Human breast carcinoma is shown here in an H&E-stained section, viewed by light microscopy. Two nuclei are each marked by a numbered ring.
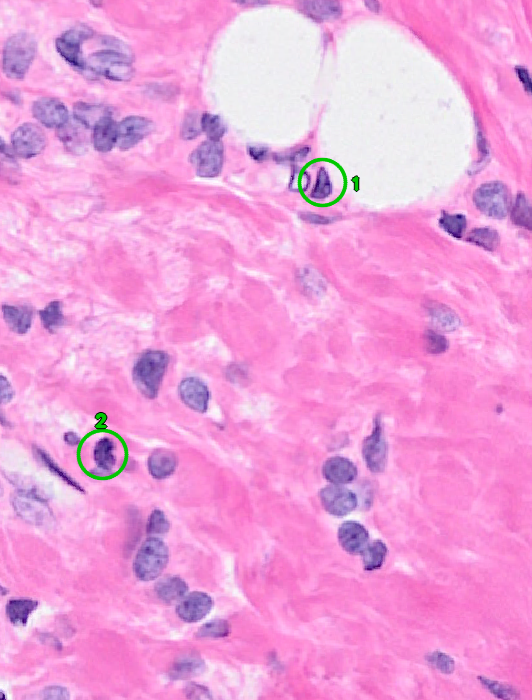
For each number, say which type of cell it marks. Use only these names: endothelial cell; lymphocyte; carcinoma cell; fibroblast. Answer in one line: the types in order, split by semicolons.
endothelial cell; lymphocyte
